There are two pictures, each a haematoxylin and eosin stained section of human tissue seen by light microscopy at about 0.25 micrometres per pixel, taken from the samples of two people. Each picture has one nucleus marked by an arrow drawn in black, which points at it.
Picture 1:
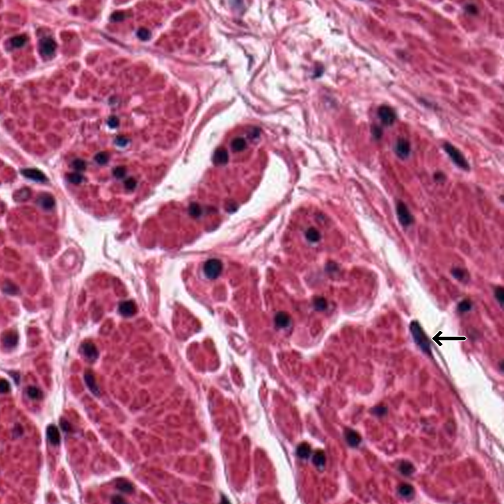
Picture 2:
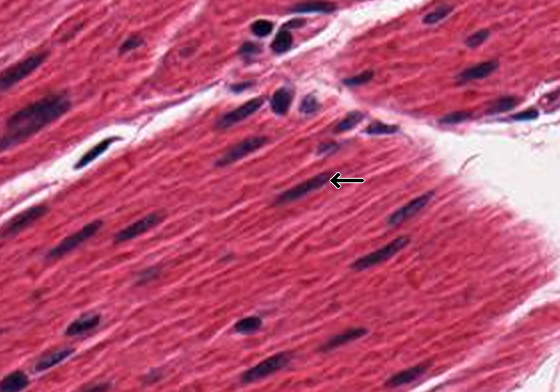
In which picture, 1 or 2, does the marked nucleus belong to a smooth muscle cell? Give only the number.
2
